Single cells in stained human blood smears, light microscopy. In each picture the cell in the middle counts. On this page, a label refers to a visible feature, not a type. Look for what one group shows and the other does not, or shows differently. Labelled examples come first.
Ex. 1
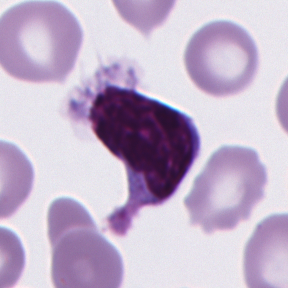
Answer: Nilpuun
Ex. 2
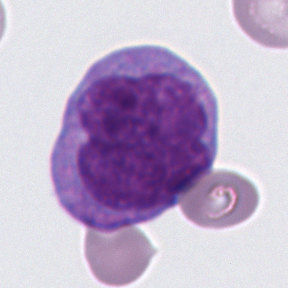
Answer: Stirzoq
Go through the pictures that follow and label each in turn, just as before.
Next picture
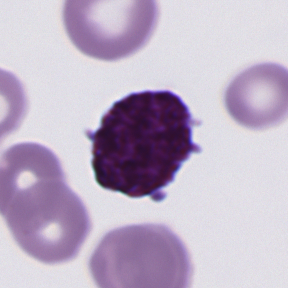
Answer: Nilpuun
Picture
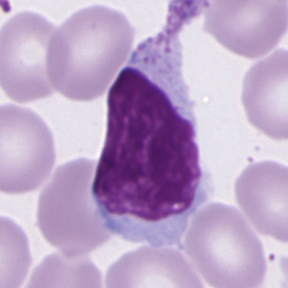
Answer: Nilpuun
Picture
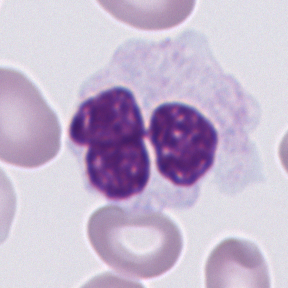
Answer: Nilpuun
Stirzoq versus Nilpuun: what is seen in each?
Seen in Stirzoq: smooth outline; seen in Nilpuun: ragged outline or projections.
